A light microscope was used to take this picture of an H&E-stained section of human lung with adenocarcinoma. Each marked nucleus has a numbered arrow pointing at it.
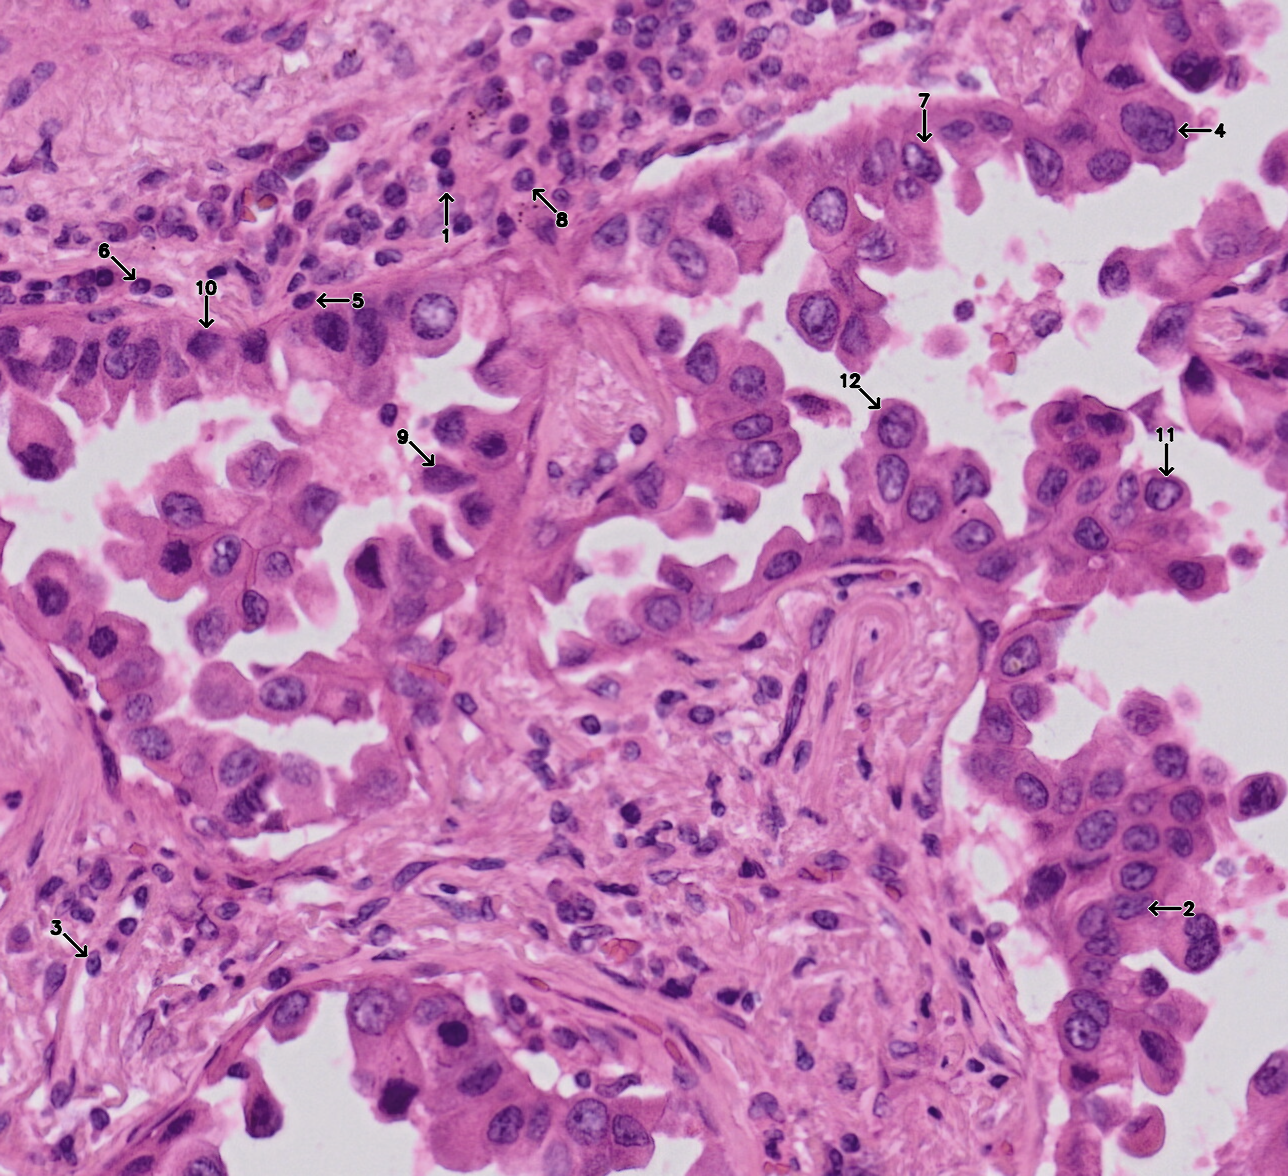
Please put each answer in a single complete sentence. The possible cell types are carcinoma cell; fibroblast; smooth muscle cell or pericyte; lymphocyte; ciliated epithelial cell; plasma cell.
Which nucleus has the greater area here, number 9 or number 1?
The larger nucleus is 9, at roughly 4 times the area of 1.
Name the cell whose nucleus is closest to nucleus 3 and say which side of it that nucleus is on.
Just above and to the right of nucleus 3 lies the nearest nucleus, which belongs to a plasma cell.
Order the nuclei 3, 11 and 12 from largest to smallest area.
Going from the biggest nucleus down to the smallest gives 12, 11, 3.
